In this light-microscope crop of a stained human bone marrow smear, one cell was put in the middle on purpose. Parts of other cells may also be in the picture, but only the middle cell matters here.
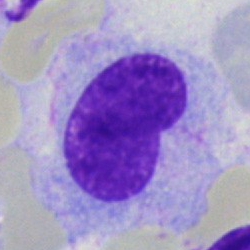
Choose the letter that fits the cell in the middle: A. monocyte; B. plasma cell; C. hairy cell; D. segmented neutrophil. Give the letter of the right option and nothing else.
C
